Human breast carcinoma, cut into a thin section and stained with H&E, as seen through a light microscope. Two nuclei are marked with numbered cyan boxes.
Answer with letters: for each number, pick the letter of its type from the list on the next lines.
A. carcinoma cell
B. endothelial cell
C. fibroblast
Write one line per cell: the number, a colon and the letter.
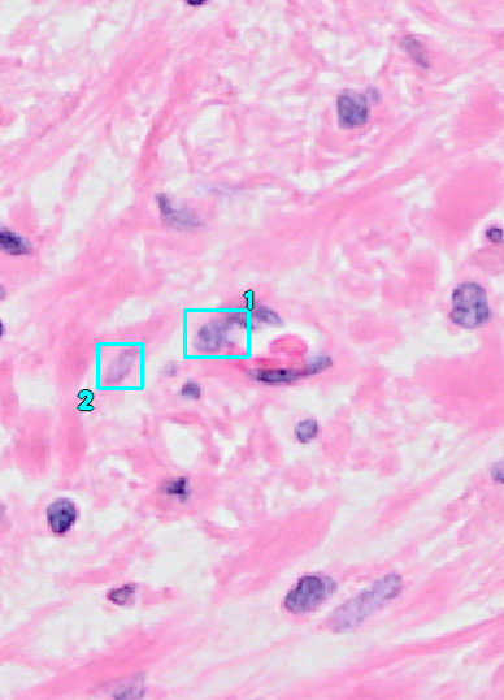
1: B
2: C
